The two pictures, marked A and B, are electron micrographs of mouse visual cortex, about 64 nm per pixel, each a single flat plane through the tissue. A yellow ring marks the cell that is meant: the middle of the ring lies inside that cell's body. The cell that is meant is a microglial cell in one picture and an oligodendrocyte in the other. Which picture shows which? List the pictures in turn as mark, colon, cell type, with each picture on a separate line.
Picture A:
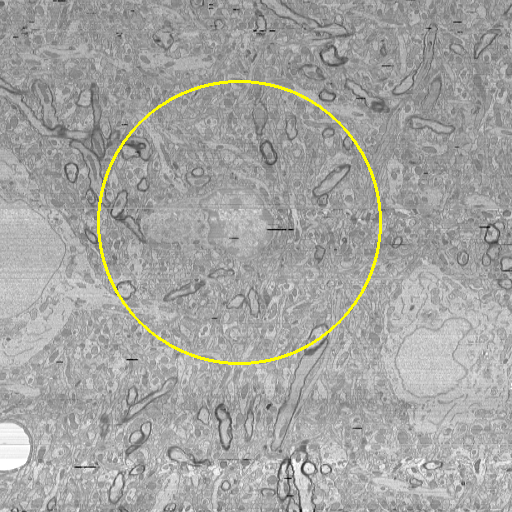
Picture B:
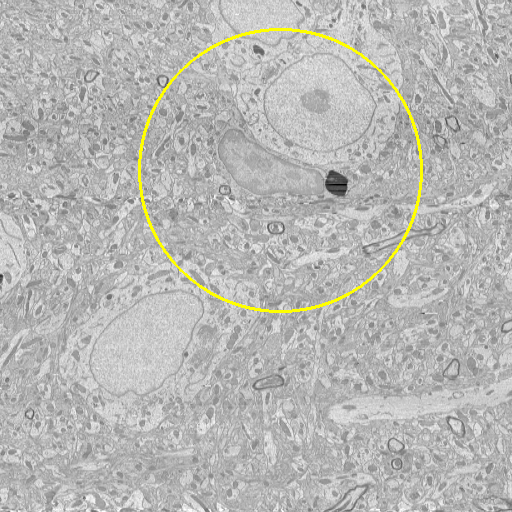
A: oligodendrocyte
B: microglial cell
